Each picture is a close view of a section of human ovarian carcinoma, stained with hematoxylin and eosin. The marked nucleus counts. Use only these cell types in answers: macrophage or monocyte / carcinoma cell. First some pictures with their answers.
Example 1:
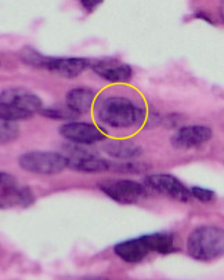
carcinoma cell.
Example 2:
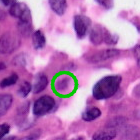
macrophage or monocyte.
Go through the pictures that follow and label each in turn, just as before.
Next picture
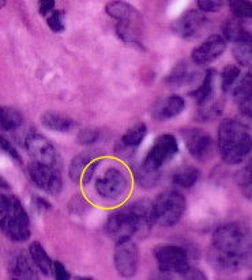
macrophage or monocyte.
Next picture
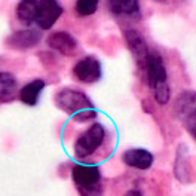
carcinoma cell.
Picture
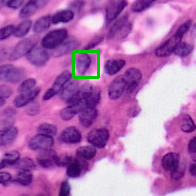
macrophage or monocyte.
